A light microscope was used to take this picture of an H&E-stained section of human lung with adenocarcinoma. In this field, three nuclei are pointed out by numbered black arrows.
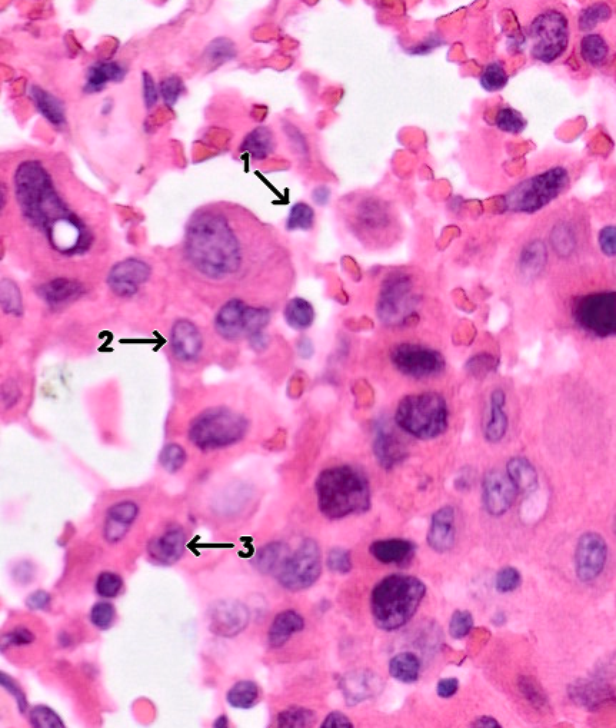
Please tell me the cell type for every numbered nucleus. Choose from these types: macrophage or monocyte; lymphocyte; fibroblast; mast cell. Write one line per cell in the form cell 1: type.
cell 1: lymphocyte
cell 2: macrophage or monocyte
cell 3: macrophage or monocyte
